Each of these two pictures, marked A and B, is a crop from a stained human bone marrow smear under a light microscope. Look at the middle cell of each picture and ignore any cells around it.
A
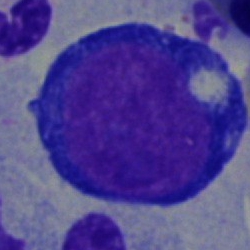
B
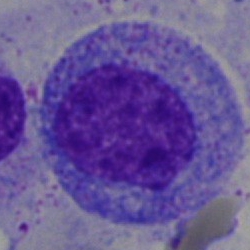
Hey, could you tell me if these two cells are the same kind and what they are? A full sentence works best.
No, it is crop A that shows a proerythroblast, and crop B shows a promyelocyte.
